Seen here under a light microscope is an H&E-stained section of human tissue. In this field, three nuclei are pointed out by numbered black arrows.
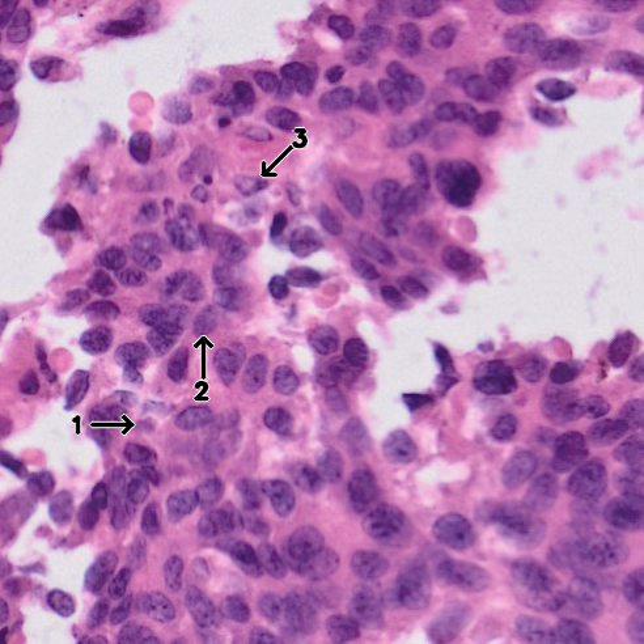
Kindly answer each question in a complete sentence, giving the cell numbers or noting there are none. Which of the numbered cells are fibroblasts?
The marked and numbered cells comprise no fibroblasts.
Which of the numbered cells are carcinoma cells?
The cells assigned the numbers 1 and 2 are carcinoma cells.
